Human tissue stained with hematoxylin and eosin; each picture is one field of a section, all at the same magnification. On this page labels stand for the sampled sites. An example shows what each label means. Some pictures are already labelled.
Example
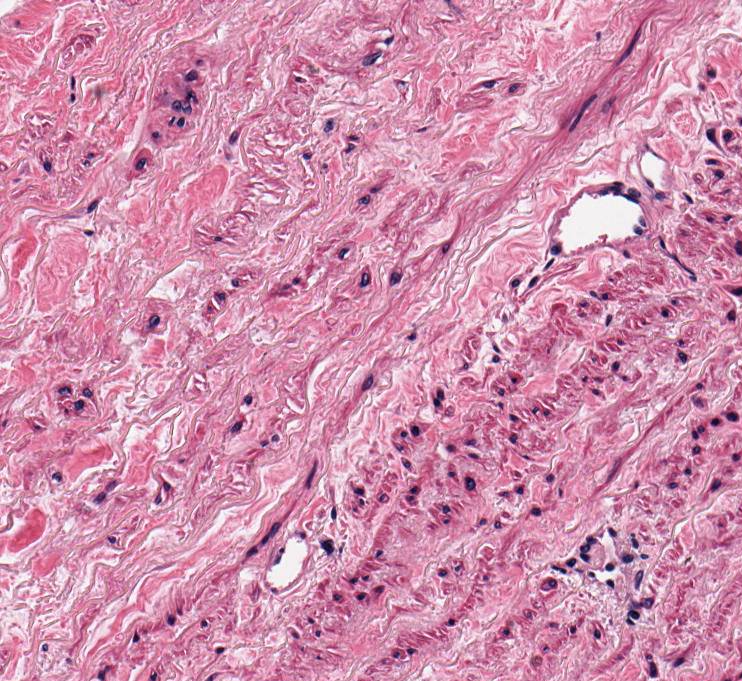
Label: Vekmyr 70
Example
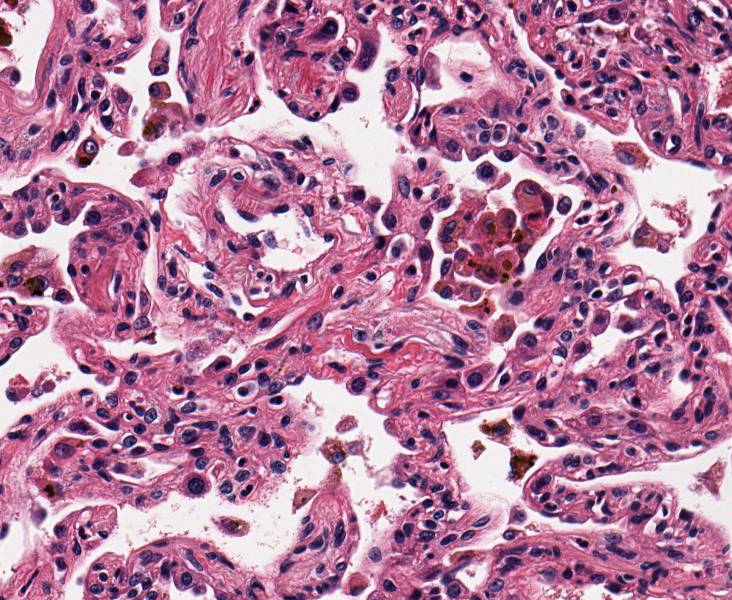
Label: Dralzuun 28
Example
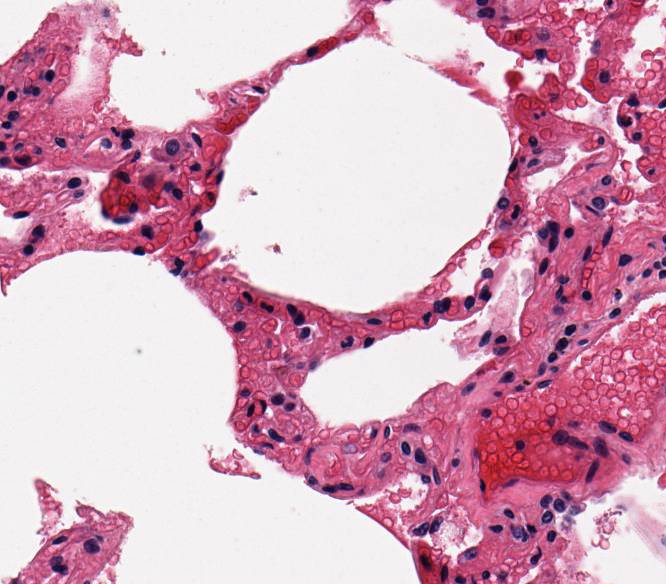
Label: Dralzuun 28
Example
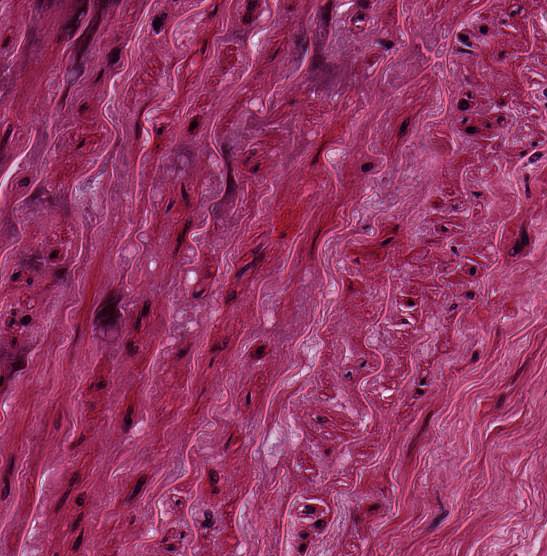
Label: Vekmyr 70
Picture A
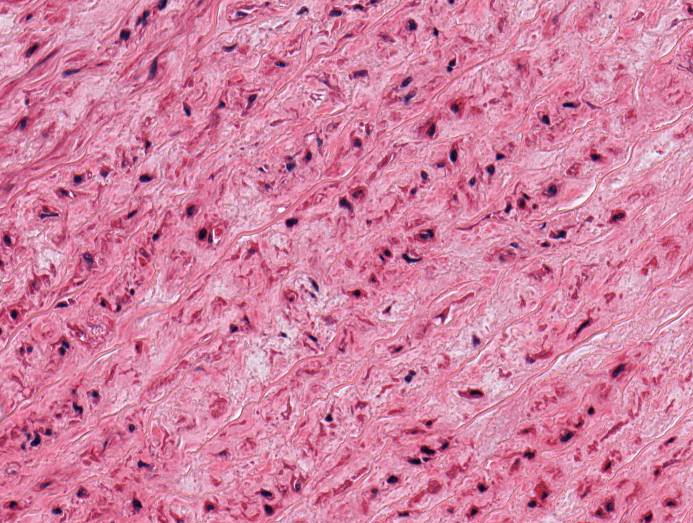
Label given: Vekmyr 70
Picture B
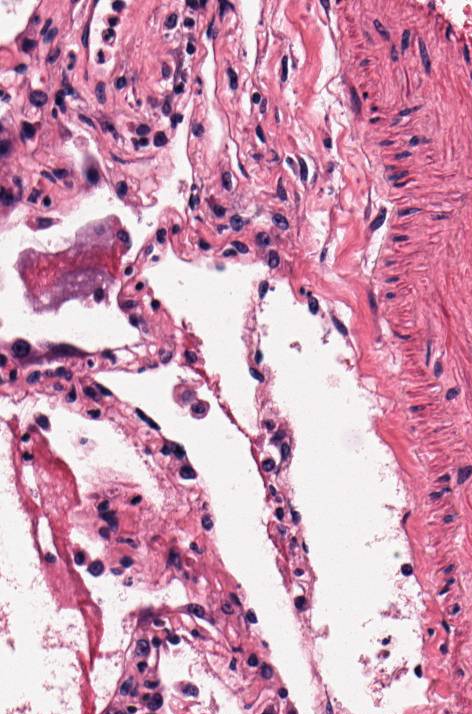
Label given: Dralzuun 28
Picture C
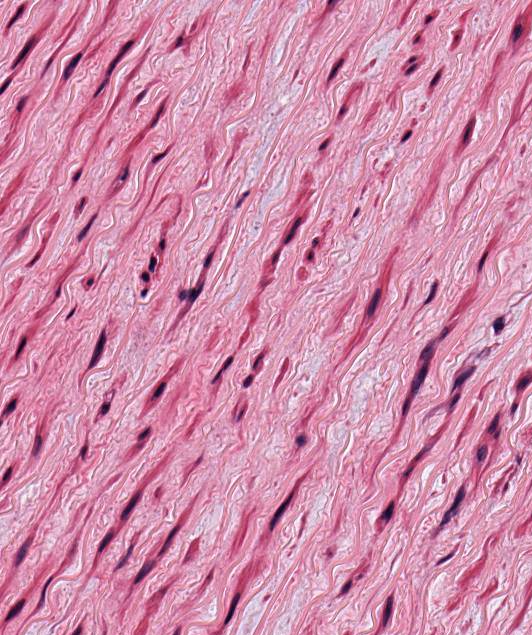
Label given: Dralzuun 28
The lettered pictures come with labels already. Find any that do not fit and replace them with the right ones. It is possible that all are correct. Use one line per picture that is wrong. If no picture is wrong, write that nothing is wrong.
C: Vekmyr 70, not Dralzuun 28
